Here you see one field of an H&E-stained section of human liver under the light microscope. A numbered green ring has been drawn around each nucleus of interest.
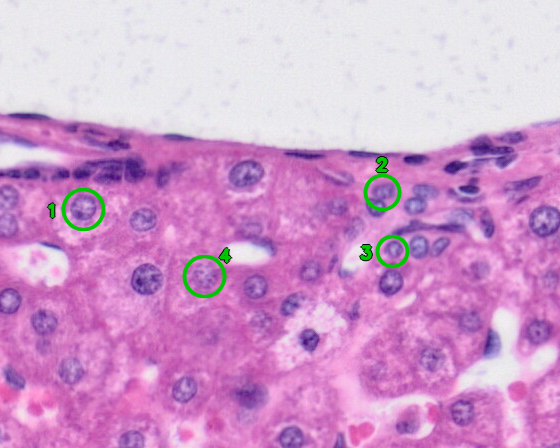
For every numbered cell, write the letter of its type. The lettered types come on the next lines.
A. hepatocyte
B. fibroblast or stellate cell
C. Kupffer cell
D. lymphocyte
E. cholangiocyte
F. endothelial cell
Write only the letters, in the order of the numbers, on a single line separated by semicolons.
A; E; E; A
